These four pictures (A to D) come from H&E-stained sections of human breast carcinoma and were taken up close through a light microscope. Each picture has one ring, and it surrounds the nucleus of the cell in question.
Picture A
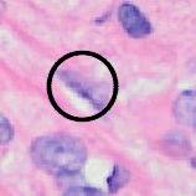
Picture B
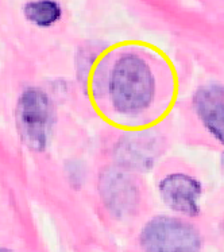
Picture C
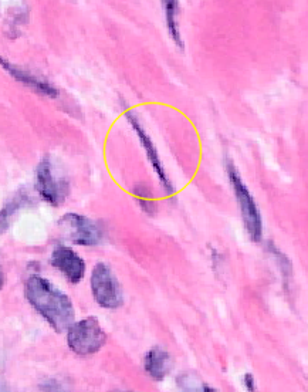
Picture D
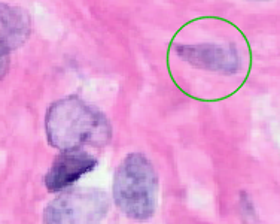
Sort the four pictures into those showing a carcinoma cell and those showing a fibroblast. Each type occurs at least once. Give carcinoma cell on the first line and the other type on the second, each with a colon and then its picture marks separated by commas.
carcinoma cell: B
fibroblast: A, C, D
